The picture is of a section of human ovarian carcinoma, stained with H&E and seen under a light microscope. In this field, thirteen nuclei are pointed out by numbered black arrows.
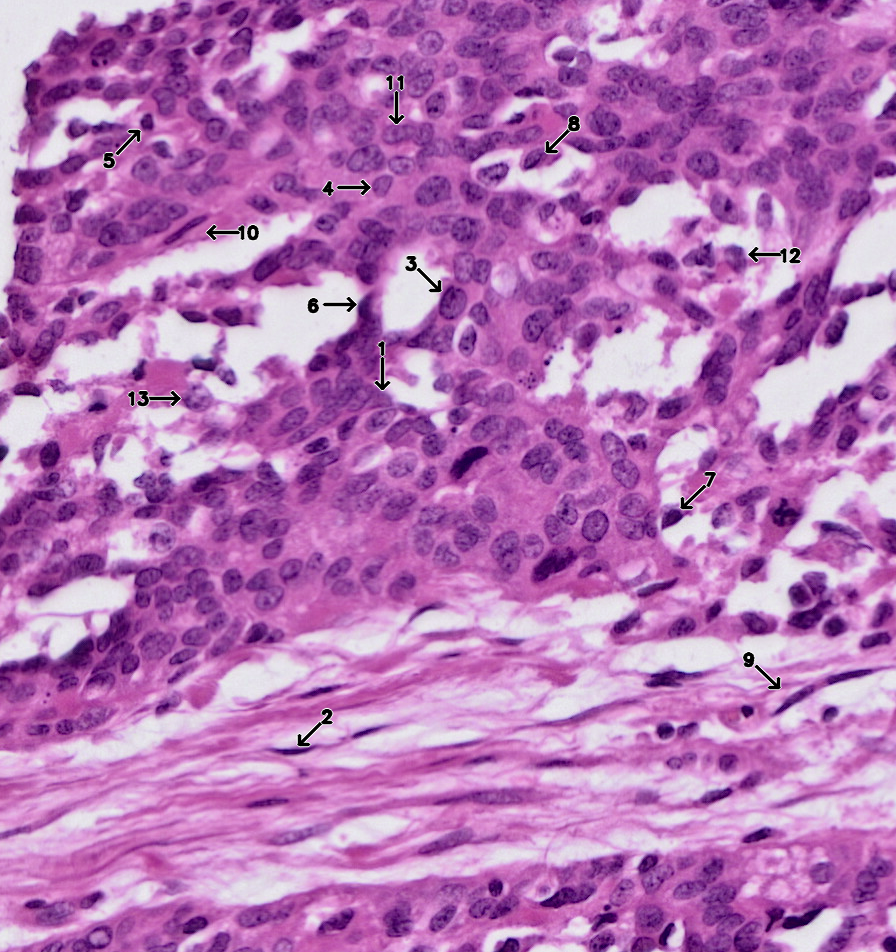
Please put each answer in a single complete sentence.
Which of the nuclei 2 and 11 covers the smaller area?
Number 2 is smaller, since number 11 takes up about 1.5 times as much area.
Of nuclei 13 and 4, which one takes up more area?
It is nucleus 13, which covers about 2 times the area of nucleus 4.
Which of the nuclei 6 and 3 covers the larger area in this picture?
It is nucleus 3, which covers about 2 times the area of nucleus 6.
